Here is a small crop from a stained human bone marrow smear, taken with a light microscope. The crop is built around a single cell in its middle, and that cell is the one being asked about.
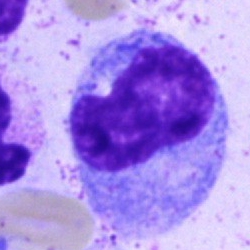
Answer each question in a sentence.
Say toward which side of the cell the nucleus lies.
The nucleus is pushed toward the top of the cell.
